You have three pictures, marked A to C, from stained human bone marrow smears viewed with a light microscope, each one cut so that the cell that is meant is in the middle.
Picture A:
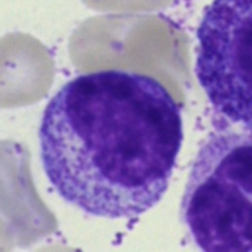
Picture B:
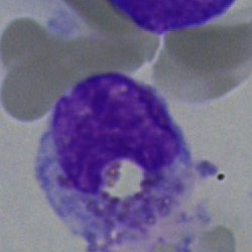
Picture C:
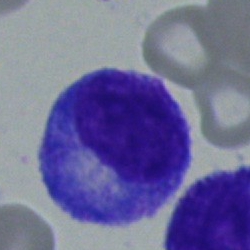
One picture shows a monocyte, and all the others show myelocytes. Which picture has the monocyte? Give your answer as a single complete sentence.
Picture B shows the monocyte.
